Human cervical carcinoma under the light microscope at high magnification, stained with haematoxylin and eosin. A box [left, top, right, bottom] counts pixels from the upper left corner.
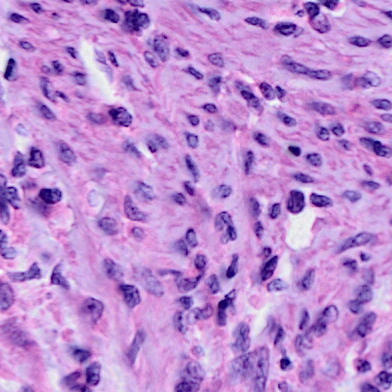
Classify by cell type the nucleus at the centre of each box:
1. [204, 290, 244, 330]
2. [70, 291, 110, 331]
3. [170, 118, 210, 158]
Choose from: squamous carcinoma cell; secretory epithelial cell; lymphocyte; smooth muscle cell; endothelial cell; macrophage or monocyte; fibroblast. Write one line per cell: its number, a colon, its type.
1: lymphocyte
2: macrophage or monocyte
3: fibroblast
